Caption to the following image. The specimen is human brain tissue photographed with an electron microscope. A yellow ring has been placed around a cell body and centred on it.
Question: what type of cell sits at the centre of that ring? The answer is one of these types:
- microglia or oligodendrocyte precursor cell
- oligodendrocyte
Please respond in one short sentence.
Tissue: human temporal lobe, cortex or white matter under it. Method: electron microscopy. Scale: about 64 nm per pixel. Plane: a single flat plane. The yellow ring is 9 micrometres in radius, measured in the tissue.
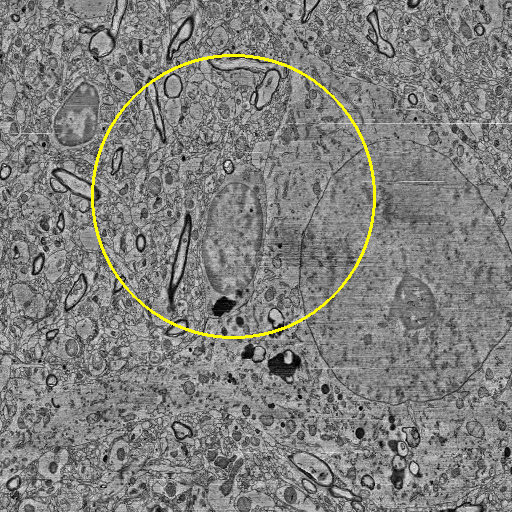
The ring surrounds the cell body of an oligodendrocyte.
